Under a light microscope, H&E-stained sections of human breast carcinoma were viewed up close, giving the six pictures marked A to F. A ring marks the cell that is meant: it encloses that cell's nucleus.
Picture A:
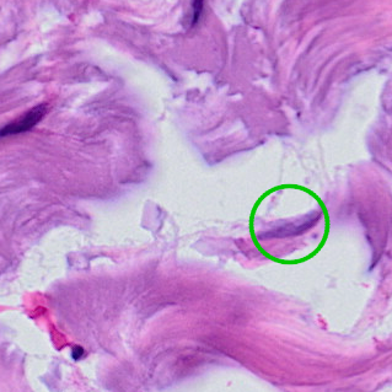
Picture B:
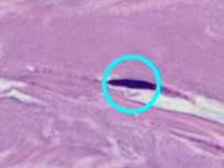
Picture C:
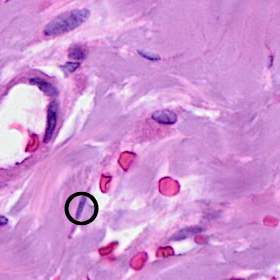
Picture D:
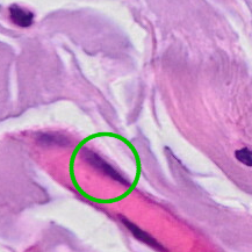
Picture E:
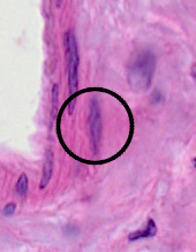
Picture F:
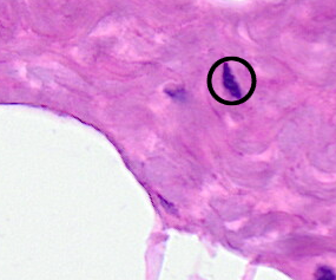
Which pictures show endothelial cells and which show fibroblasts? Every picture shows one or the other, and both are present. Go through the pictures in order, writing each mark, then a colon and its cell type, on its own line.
A: fibroblast
B: fibroblast
C: fibroblast
D: endothelial cell
E: endothelial cell
F: fibroblast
